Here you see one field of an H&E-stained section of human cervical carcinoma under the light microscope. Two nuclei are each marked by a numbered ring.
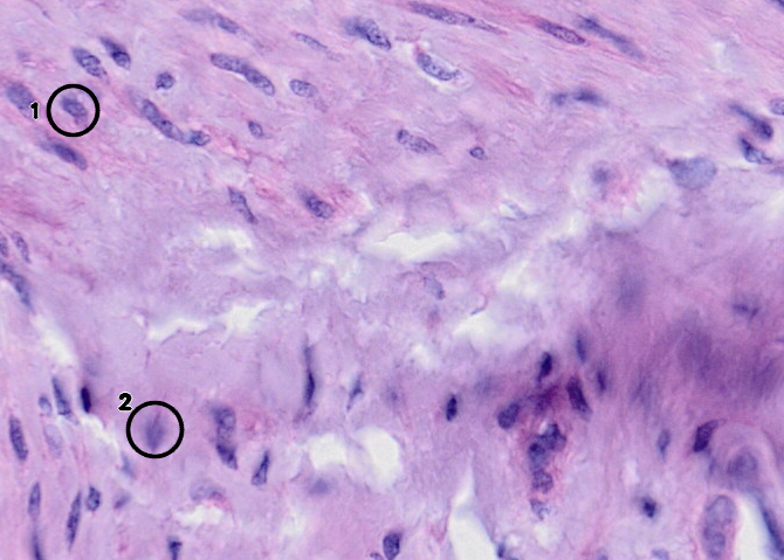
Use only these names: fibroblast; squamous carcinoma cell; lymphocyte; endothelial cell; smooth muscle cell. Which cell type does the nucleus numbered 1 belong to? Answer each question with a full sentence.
The expected answer is that cell 1 is a smooth muscle cell.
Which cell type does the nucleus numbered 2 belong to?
The one numbered 2 among the marked cells is a fibroblast.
